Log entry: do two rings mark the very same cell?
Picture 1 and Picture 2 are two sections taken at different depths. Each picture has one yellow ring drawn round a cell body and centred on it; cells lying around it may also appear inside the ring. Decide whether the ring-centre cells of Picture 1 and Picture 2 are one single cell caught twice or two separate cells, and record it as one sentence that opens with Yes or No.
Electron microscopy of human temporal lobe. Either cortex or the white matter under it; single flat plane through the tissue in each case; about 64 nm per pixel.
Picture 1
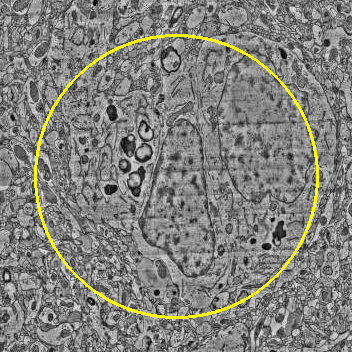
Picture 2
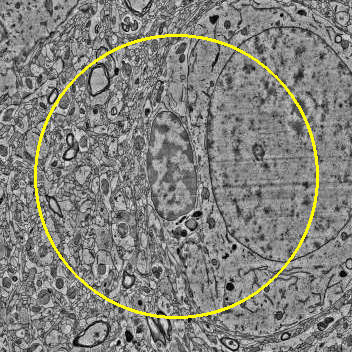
No, these two rings belong to two distinct cells.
